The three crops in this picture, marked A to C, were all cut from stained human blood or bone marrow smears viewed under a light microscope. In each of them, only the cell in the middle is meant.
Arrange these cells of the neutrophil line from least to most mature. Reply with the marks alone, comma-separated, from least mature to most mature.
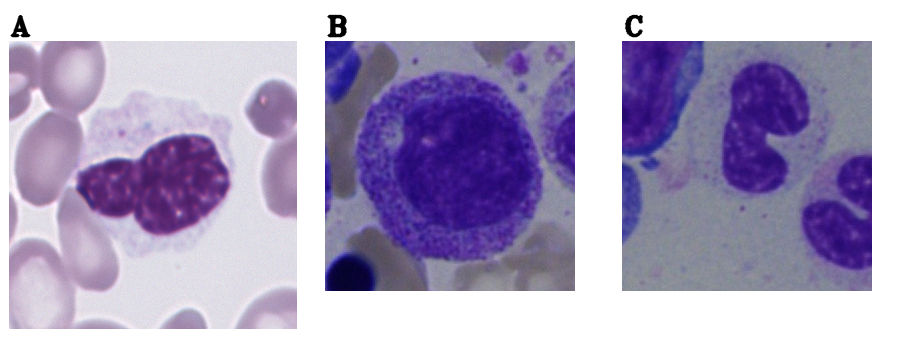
B, C, A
